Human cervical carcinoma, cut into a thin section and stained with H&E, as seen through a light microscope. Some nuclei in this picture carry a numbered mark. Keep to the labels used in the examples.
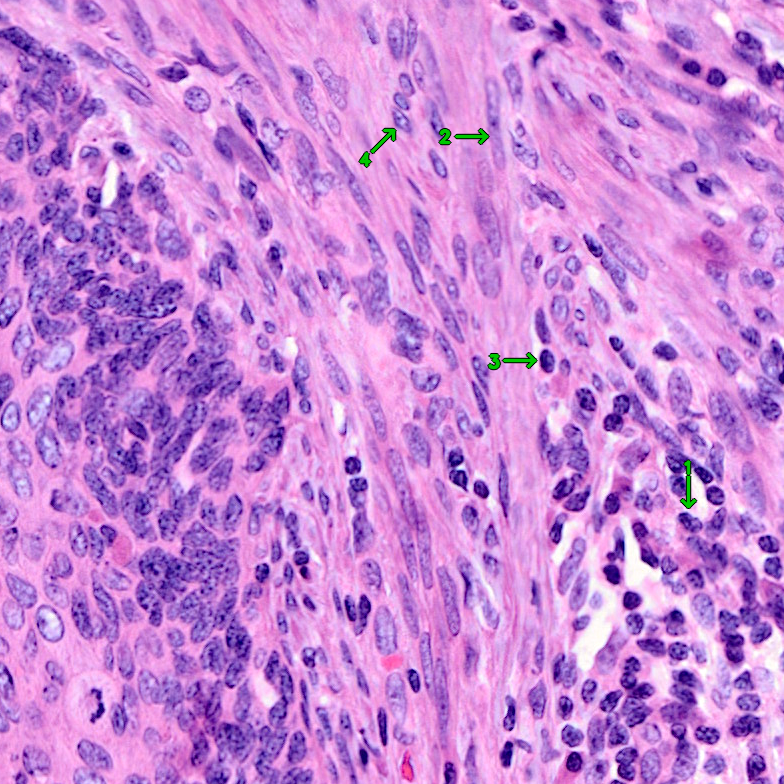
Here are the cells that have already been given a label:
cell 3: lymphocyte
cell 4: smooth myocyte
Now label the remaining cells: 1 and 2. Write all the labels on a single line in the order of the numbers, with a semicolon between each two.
lymphocyte; smooth myocyte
